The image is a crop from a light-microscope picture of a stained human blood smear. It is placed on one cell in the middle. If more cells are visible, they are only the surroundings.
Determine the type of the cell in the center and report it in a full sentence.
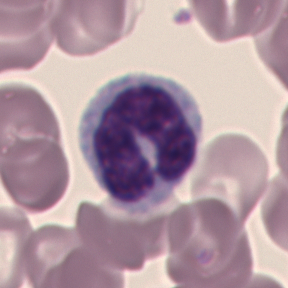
Here the cell in the middle is a monocyte.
